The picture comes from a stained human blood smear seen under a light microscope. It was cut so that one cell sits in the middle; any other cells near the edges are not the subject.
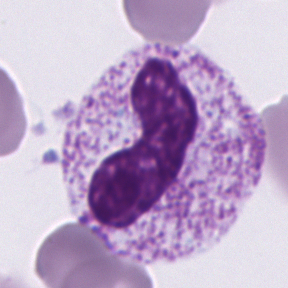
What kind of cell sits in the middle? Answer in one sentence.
This crop has a band neutrophil at its centre.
